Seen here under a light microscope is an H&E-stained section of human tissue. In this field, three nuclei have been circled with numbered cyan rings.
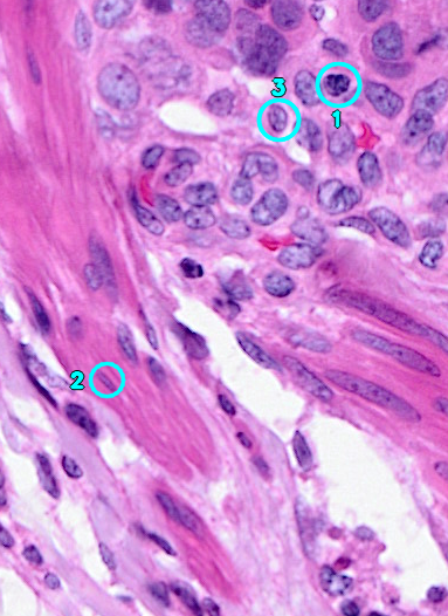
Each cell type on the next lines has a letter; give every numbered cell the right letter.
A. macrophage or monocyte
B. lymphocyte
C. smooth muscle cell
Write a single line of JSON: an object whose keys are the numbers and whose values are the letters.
{"1": "B", "2": "C", "3": "A"}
